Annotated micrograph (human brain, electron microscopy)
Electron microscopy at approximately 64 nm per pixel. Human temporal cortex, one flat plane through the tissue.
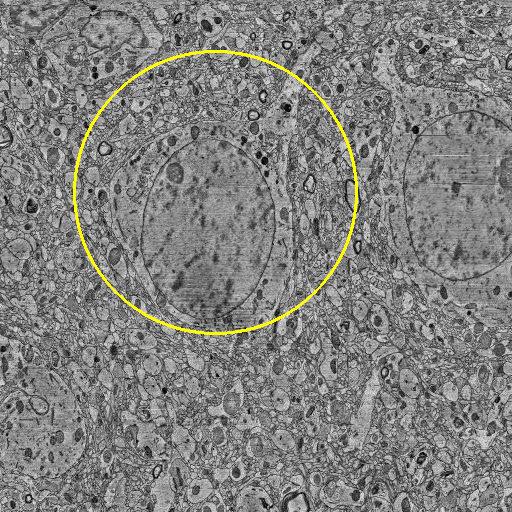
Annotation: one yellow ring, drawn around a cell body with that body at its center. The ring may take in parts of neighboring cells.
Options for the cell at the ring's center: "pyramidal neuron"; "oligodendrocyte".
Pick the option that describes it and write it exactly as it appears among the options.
pyramidal neuron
